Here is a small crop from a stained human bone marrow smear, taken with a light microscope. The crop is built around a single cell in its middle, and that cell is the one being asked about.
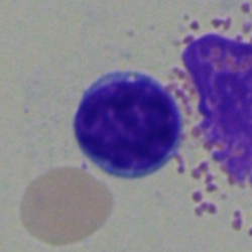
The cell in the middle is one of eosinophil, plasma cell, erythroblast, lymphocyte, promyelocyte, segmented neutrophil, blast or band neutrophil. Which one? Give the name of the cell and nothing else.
lymphocyte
